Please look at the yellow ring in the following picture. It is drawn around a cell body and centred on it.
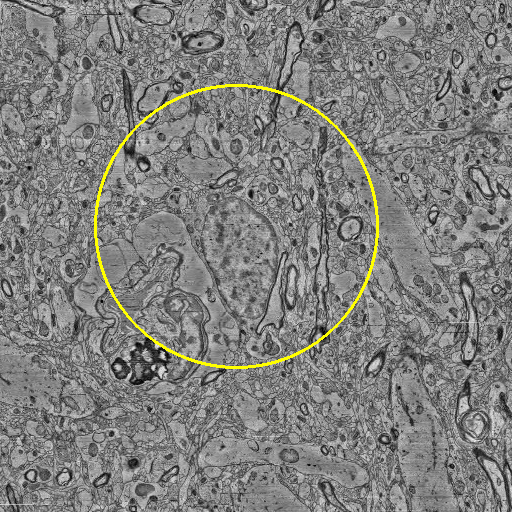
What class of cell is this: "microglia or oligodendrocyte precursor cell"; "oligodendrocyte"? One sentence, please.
The ring surrounds the cell body of an oligodendrocyte.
